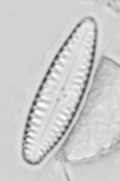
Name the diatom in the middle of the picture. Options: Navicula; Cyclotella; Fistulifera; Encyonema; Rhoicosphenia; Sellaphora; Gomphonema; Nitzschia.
Gomphonema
